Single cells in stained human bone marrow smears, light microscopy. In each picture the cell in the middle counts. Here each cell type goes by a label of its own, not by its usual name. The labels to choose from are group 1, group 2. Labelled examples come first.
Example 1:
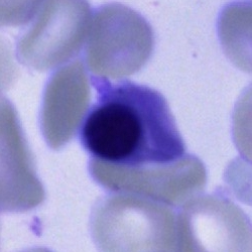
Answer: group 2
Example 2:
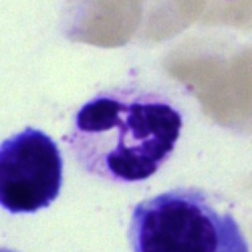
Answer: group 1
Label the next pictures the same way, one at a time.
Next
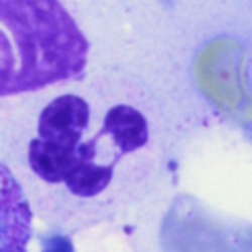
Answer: group 1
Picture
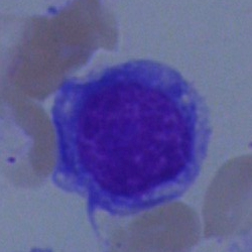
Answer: group 2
